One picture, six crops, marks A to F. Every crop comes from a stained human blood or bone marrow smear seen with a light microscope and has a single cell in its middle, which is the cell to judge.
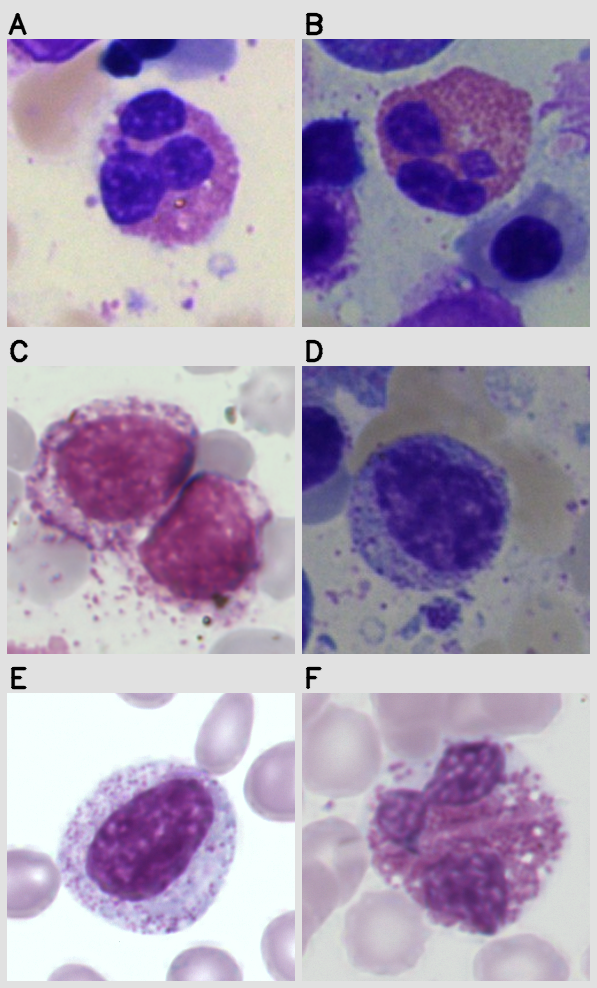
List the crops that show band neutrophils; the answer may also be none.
none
